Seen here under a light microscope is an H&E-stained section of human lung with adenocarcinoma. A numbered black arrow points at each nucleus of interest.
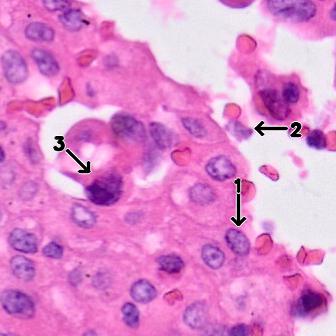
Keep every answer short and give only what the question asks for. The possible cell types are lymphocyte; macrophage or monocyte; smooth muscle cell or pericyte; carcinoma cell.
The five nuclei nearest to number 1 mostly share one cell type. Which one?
macrophage or monocyte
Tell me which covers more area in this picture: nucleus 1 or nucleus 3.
3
